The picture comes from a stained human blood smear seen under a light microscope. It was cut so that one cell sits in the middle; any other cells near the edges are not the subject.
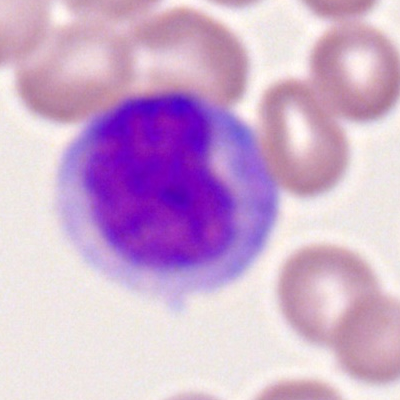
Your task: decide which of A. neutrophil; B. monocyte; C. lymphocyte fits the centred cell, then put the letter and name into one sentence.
Answer key: option B, the middle cell being a monocyte.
